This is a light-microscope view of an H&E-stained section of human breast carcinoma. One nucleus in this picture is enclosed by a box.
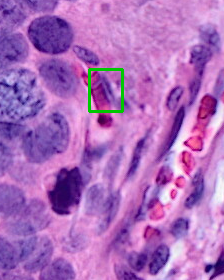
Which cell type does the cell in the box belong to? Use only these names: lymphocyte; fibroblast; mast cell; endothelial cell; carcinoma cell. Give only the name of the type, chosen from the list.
endothelial cell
